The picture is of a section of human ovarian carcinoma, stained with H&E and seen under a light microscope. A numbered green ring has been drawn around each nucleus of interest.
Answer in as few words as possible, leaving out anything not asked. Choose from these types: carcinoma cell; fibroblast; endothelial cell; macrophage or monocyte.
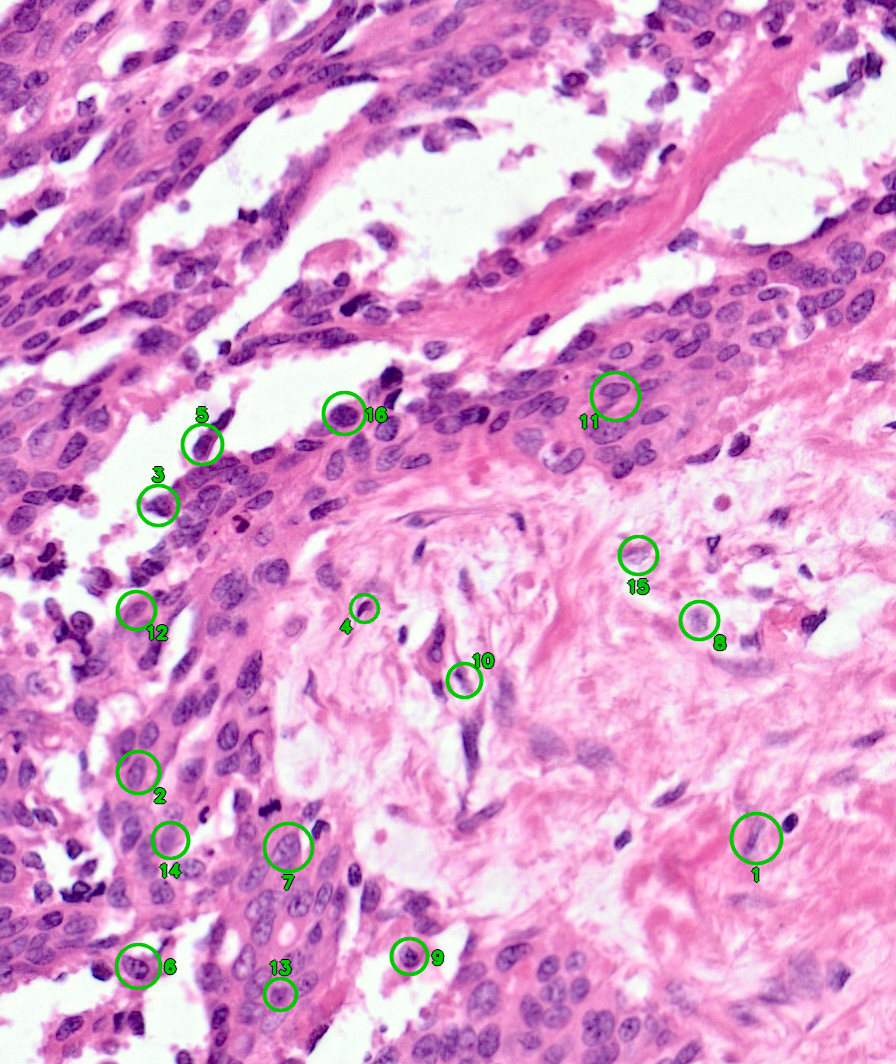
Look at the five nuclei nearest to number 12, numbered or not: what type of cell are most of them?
carcinoma cell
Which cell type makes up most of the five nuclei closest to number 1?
fibroblast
